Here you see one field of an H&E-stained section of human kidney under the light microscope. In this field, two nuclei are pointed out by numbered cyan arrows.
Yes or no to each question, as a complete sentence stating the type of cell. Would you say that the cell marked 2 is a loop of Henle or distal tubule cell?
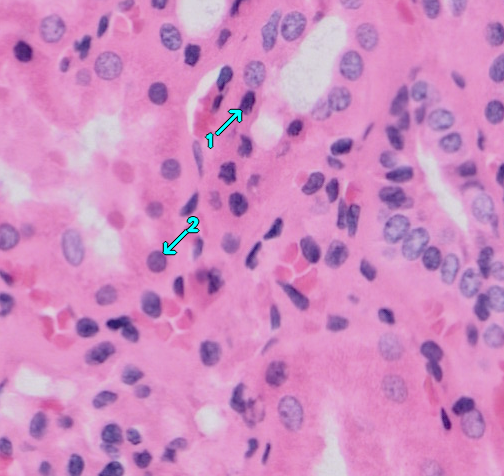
No, number 2 is not a loop of Henle or distal tubule cell but a proximal tubule cell.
